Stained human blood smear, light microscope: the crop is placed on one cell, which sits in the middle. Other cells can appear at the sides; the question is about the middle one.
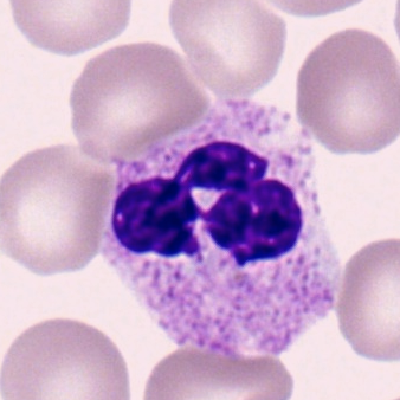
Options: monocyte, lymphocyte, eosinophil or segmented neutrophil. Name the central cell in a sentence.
As for the cell in the middle, it is a segmented neutrophil.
